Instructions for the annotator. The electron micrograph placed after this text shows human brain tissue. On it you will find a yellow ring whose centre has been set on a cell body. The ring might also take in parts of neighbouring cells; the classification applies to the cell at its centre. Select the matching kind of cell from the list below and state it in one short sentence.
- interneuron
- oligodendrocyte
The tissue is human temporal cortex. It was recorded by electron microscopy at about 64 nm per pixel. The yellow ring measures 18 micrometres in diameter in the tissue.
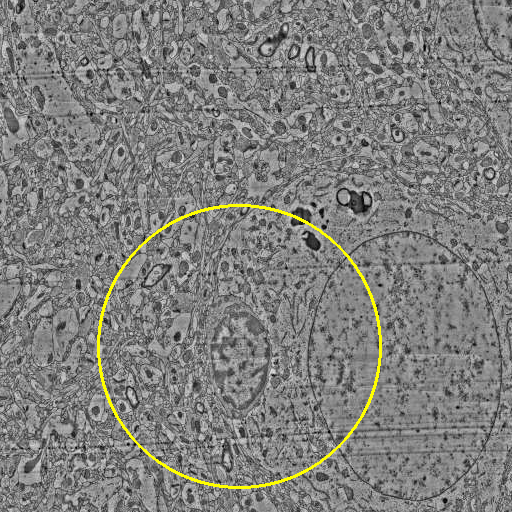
The ring is drawn on the cell body of an oligodendrocyte.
